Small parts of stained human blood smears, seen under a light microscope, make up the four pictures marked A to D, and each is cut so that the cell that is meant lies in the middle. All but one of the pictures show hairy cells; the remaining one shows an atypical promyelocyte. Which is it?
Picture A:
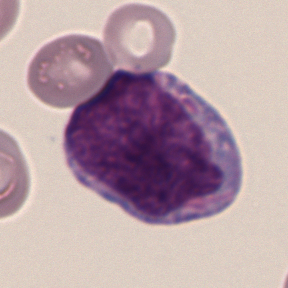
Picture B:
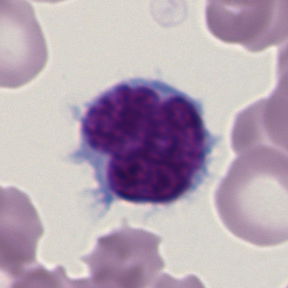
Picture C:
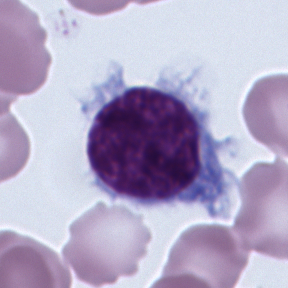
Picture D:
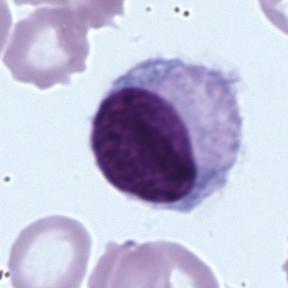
A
